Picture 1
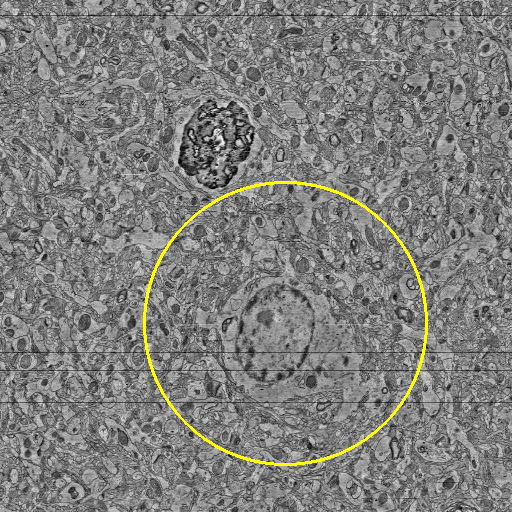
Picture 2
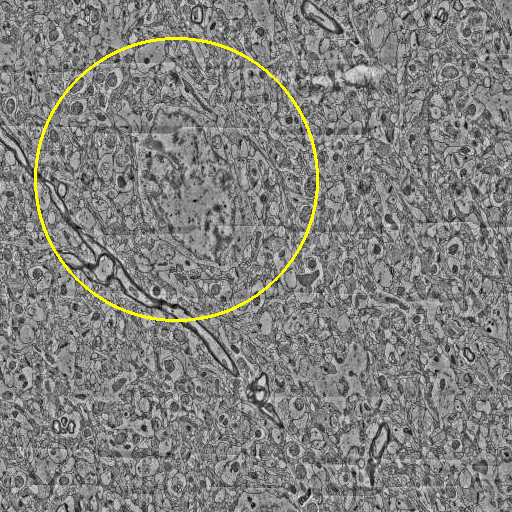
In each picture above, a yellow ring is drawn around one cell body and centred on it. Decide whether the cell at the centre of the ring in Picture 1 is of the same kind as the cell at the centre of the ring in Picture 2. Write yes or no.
no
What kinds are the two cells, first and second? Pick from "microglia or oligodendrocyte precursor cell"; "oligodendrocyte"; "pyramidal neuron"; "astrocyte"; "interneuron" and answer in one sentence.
The second picture holds an interneuron in its ring, and the first holds an astrocyte.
